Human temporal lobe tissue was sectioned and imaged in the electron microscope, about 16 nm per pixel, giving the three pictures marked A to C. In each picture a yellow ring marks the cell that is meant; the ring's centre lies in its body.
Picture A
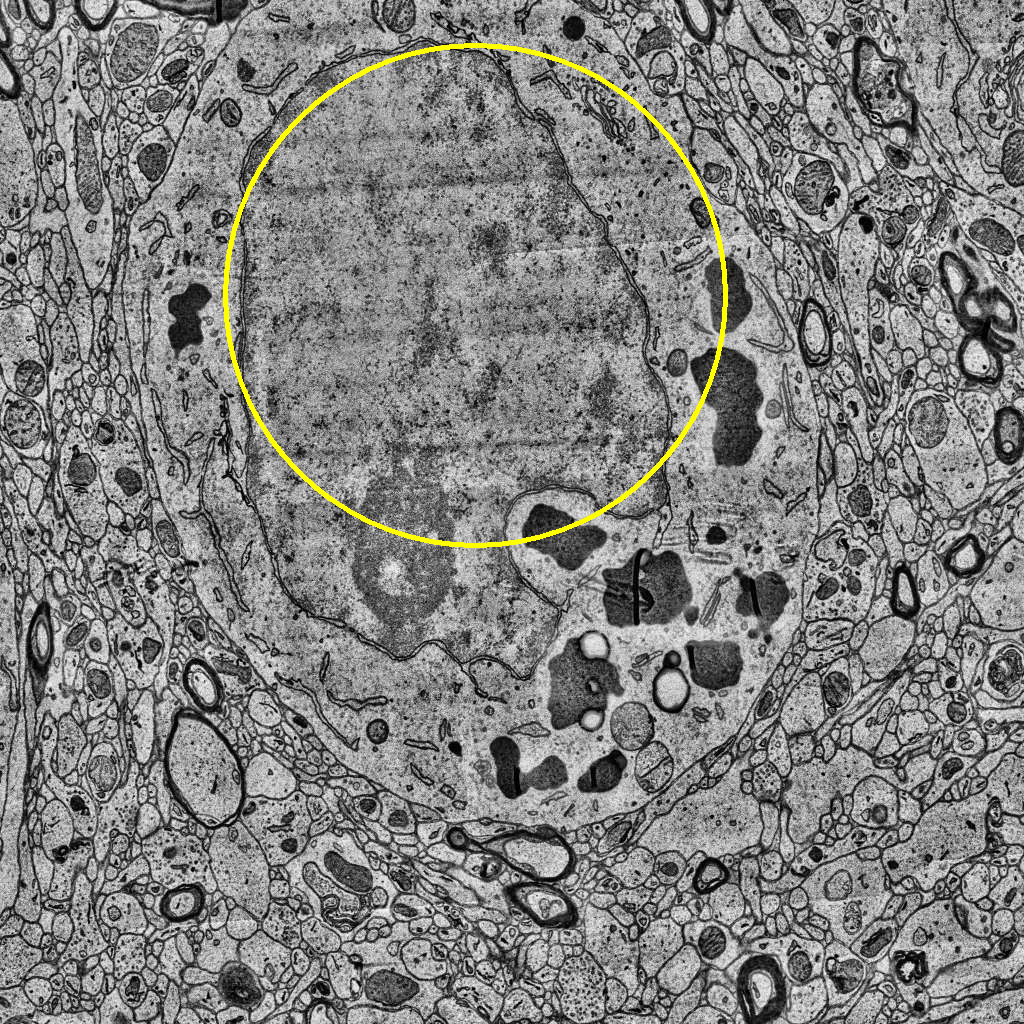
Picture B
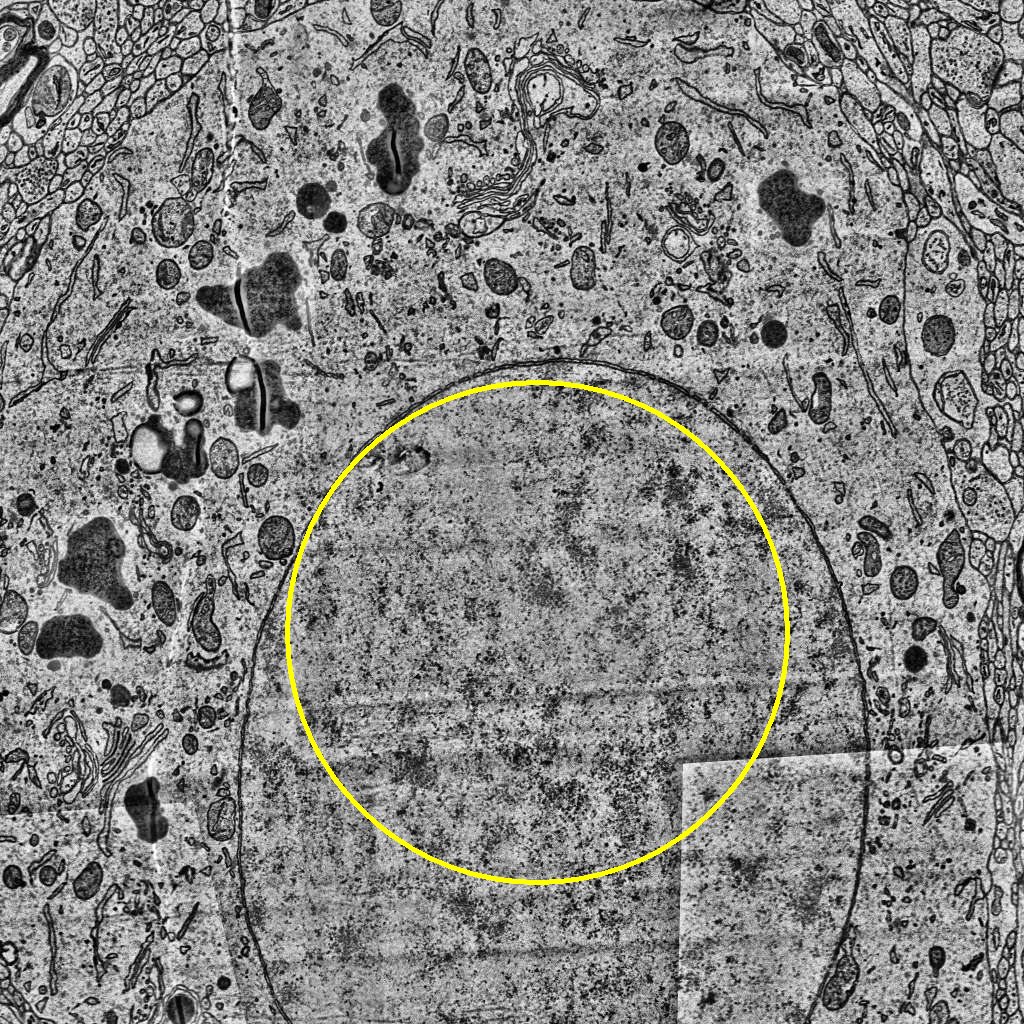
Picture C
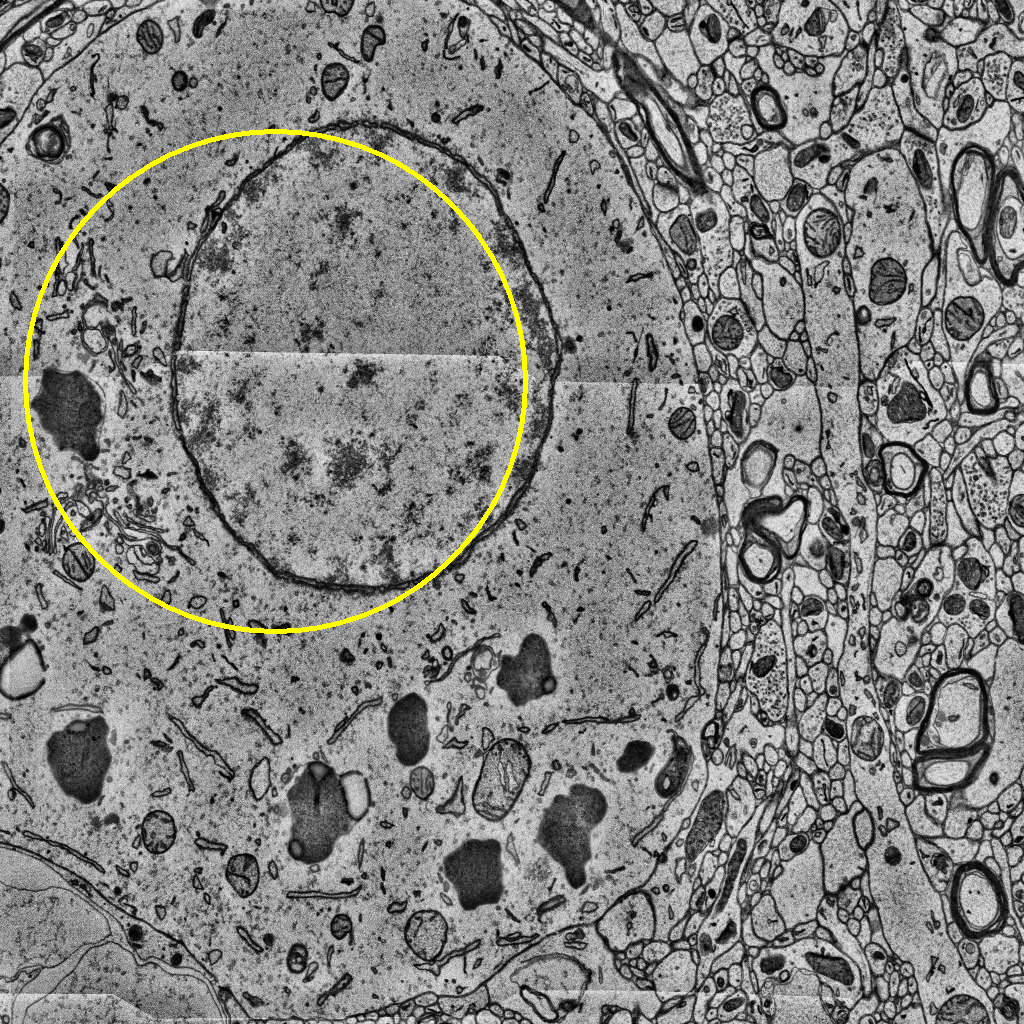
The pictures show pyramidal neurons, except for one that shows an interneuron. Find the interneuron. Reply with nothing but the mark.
A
